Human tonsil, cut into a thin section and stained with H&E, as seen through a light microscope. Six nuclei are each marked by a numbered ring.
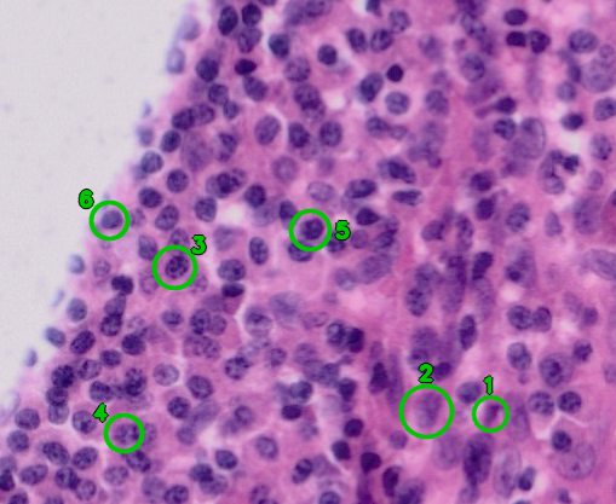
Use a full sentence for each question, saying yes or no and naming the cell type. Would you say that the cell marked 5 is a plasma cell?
Yes, the numbered cell 5 is identified as a plasma cell.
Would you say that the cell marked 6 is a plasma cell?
No, cell 6 is not to be taken for a plasma cell; it is a small lymphocyte.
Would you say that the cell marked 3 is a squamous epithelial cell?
No, the cell referred to as 3 is a plasma cell, not a squamous epithelial cell.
